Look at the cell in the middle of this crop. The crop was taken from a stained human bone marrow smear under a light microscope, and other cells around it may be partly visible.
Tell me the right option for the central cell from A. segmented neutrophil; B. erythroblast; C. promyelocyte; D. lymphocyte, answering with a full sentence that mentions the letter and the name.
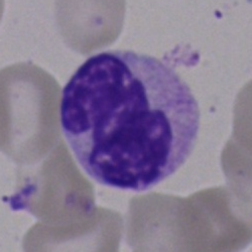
Option A is the right choice, the central cell being a segmented neutrophil.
